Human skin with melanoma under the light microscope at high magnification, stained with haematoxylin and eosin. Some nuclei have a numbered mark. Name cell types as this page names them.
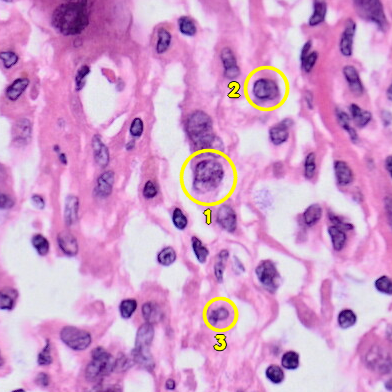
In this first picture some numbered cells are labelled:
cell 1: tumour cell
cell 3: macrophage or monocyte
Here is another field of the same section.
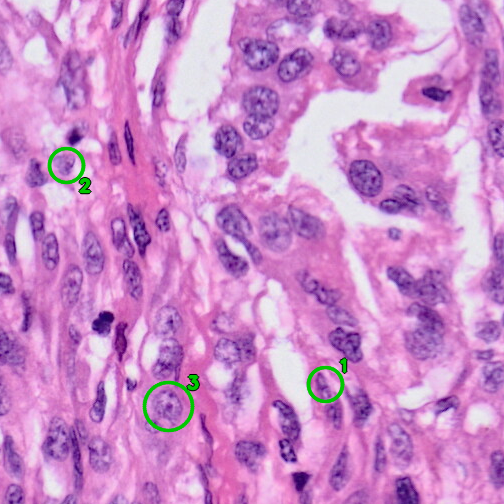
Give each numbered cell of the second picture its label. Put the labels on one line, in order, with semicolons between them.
tumour cell; macrophage or monocyte; tumour cell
